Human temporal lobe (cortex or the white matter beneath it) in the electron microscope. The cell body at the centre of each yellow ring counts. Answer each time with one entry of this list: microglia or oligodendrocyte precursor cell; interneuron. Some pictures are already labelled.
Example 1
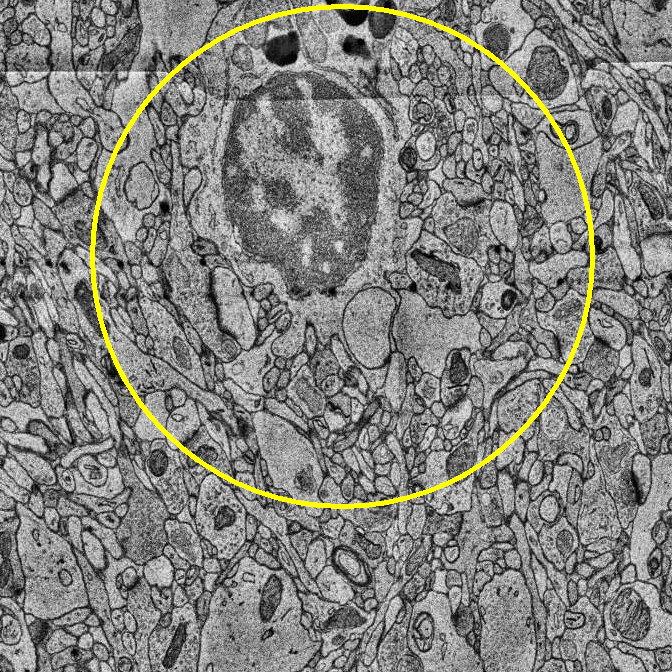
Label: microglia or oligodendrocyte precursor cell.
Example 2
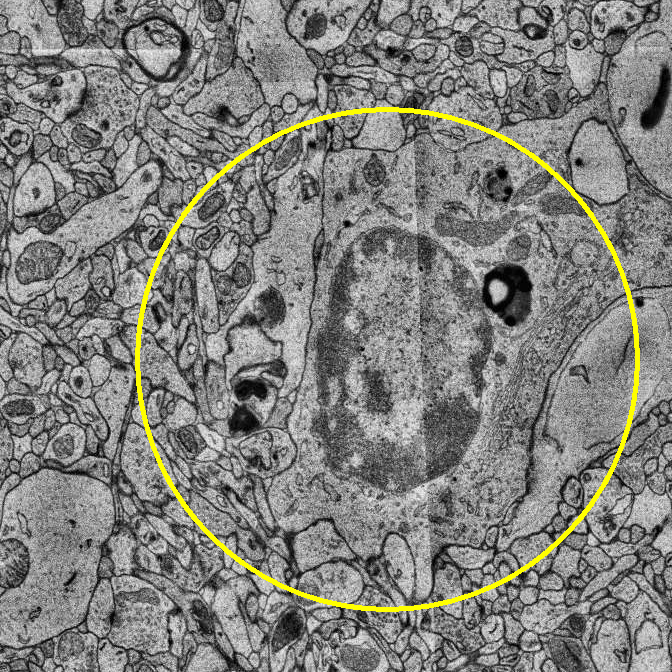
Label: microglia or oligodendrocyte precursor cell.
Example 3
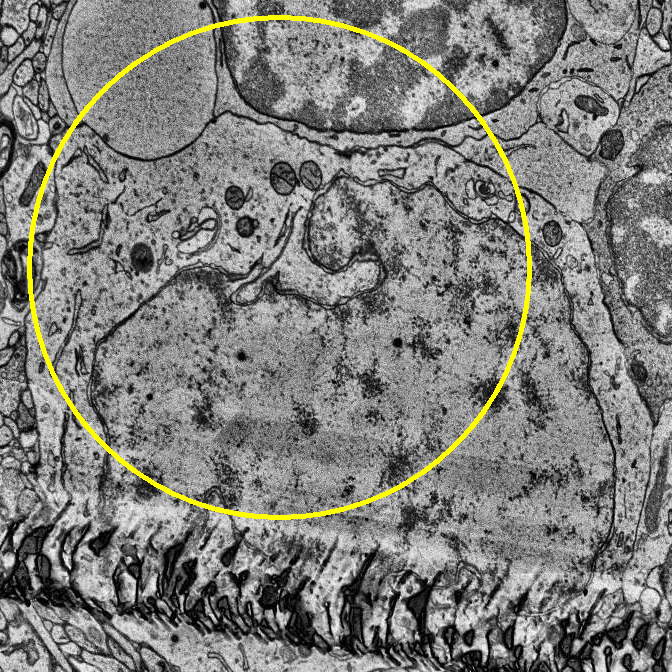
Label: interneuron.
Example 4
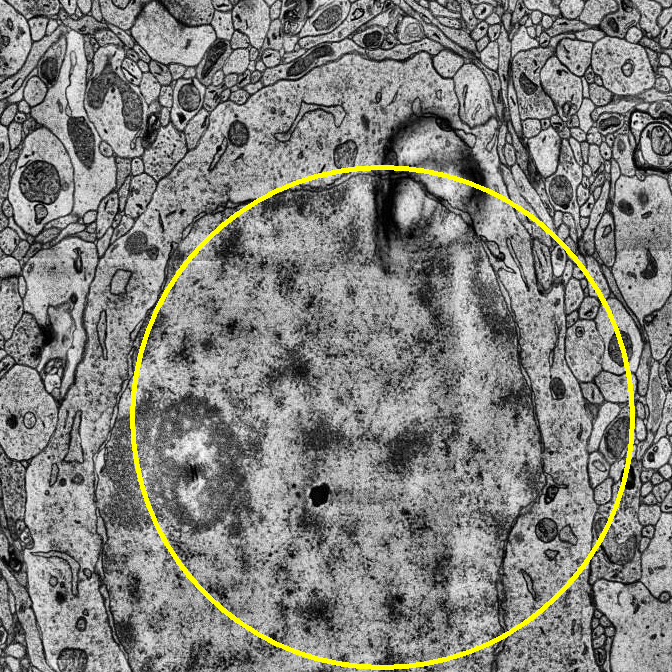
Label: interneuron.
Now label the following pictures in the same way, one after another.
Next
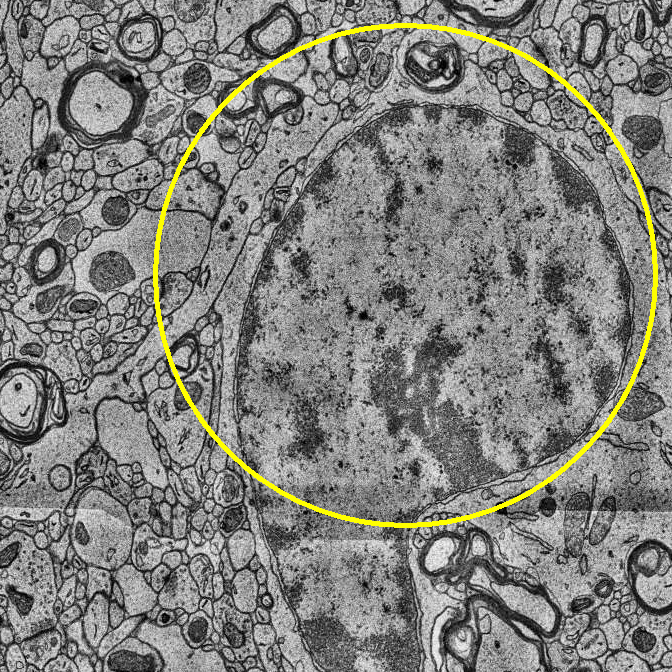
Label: microglia or oligodendrocyte precursor cell.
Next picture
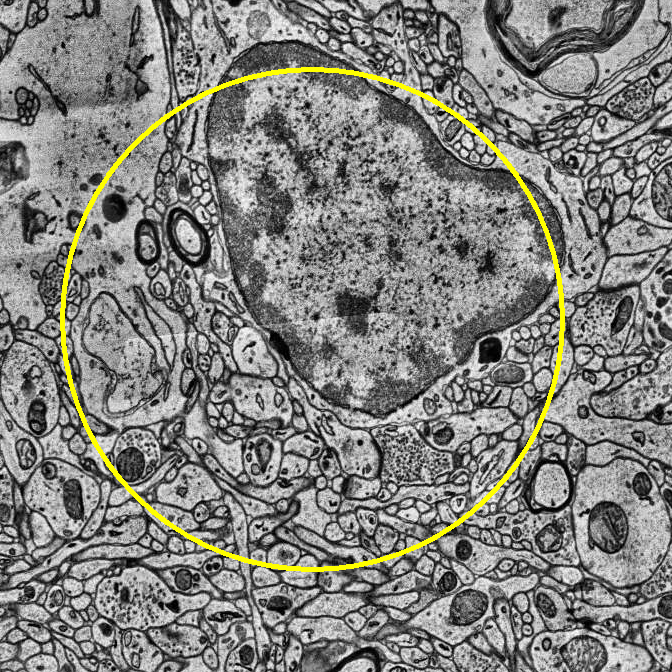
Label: microglia or oligodendrocyte precursor cell.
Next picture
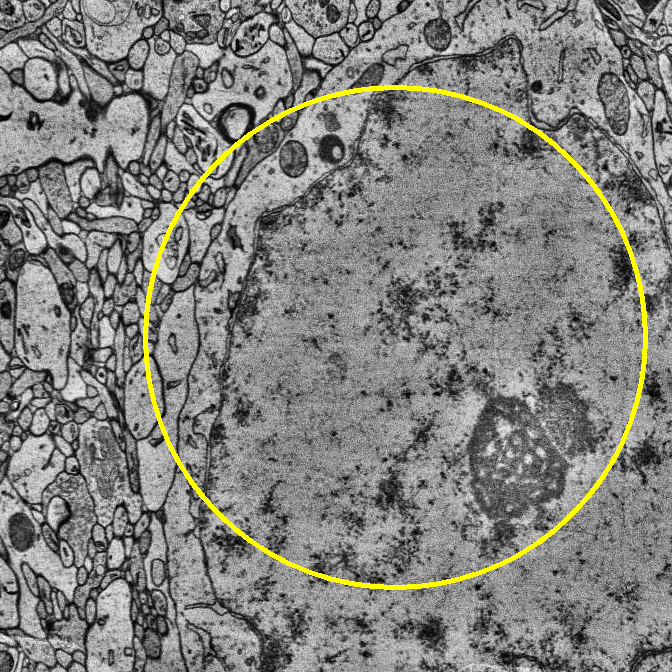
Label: interneuron.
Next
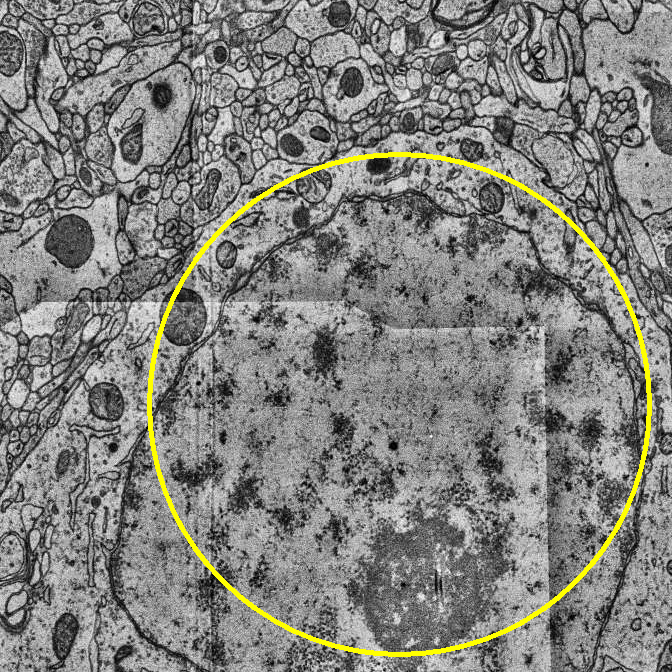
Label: interneuron.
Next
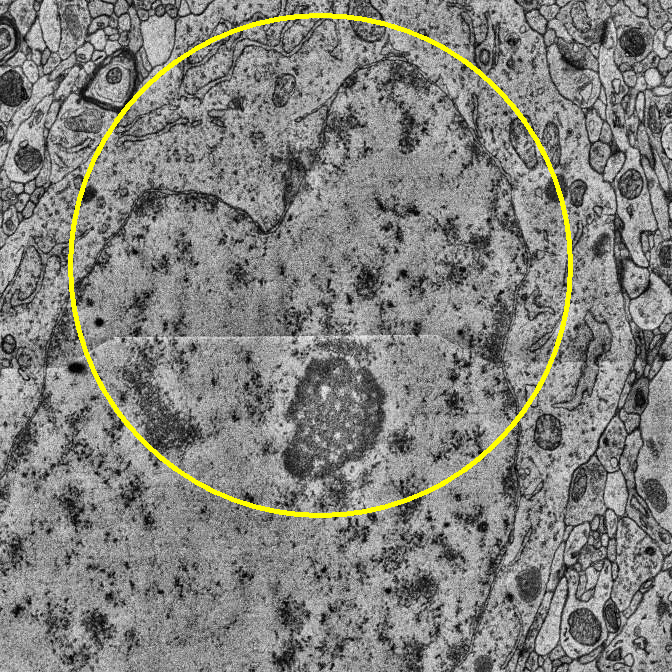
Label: interneuron.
